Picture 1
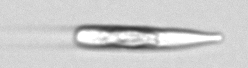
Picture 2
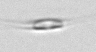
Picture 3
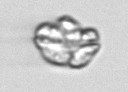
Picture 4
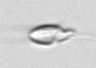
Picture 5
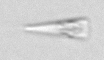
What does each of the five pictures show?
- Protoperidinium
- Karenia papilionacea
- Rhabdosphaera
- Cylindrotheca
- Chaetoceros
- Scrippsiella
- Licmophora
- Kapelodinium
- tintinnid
Picture 1: Licmophora
Picture 2: Cylindrotheca
Picture 3: Karenia papilionacea
Picture 4: Kapelodinium
Picture 5: Licmophora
